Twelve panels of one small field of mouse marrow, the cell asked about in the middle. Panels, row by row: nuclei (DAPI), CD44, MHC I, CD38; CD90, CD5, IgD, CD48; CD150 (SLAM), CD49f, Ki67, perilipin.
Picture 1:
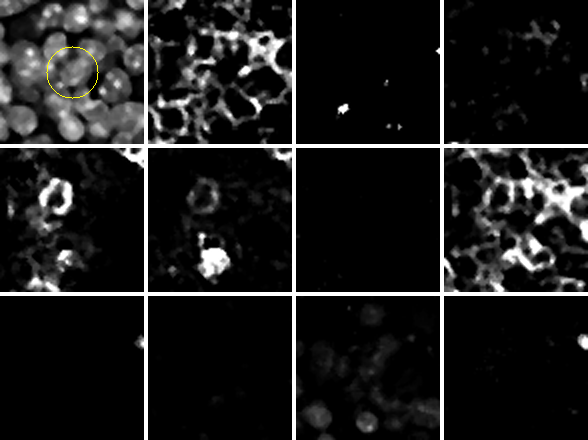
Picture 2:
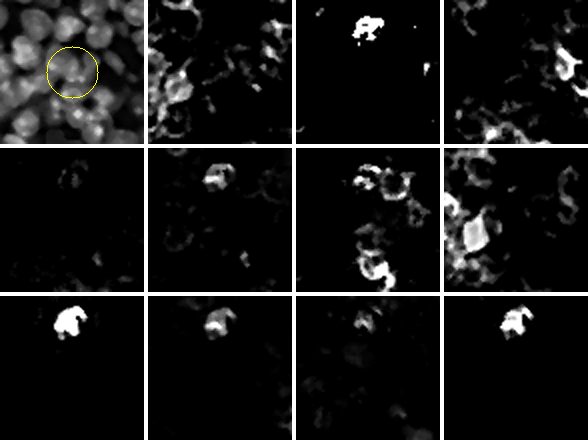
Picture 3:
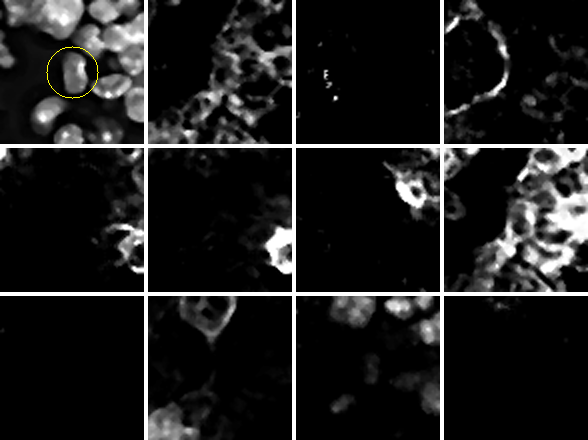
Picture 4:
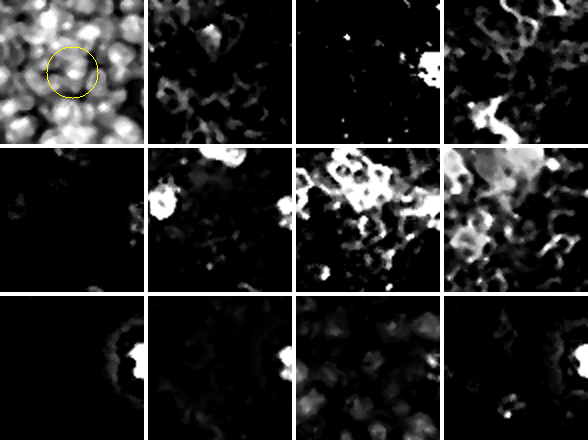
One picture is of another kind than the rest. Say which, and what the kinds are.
Picture 3 shows a monocyte; the rest show B cells.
